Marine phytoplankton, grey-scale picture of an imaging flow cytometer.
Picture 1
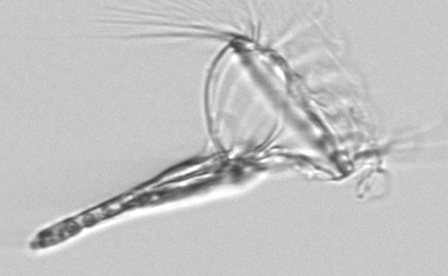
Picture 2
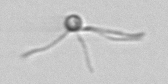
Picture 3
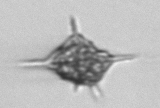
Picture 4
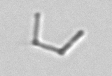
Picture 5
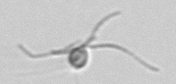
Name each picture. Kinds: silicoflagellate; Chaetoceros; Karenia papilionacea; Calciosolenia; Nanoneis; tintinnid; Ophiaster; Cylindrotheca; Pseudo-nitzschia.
1. tintinnid
2. Ophiaster
3. silicoflagellate
4. Nanoneis
5. Ophiaster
